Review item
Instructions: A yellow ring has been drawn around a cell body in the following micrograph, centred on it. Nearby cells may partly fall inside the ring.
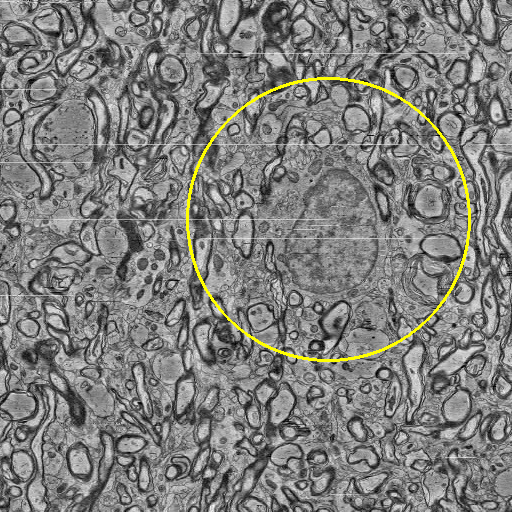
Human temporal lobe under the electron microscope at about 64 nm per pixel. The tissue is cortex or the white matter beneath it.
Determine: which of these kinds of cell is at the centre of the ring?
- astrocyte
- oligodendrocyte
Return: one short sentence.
The cell body in the middle of the ring is that of an oligodendrocyte.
